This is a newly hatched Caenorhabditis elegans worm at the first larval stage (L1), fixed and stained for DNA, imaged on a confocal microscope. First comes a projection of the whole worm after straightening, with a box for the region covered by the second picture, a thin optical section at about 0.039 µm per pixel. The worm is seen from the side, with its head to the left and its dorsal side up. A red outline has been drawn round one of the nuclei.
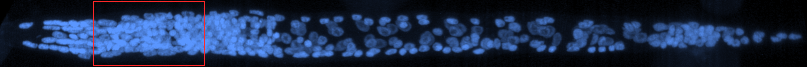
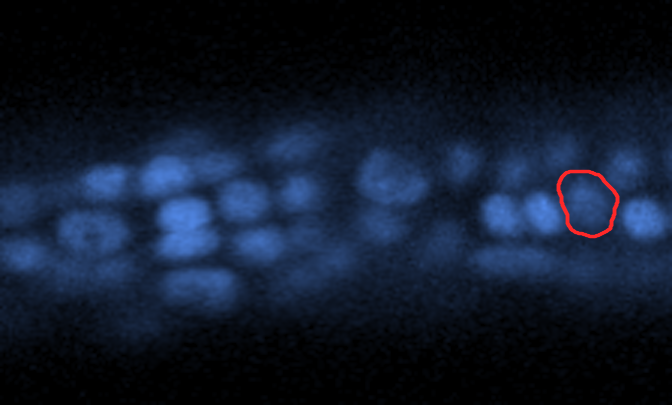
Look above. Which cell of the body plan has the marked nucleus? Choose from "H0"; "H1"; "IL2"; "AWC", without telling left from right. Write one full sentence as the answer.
The marked nucleus belongs to AWC, a neuron.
